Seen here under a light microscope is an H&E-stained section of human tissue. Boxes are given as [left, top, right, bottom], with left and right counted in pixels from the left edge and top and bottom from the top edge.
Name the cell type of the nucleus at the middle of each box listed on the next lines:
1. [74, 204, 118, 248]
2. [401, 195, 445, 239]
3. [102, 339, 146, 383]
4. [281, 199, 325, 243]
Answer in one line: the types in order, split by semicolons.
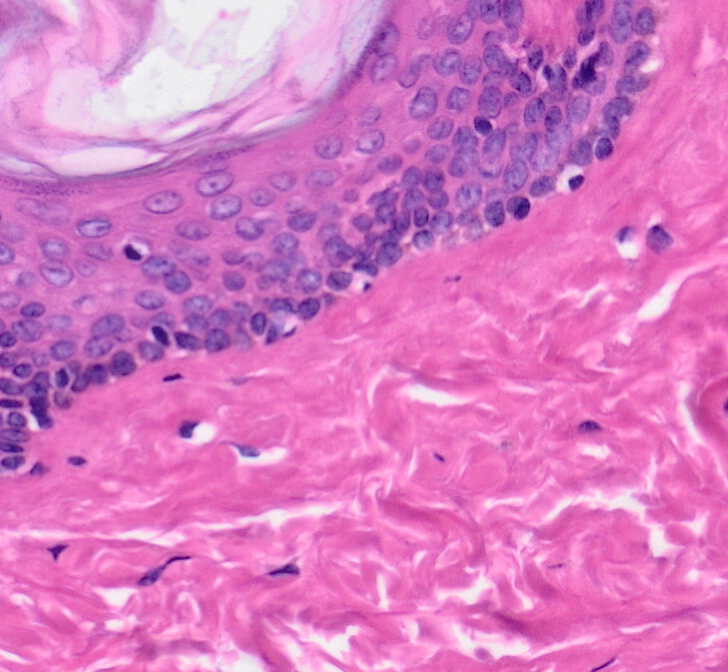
suprabasal keratinocyte; basal keratinocyte; basal keratinocyte; suprabasal keratinocyte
